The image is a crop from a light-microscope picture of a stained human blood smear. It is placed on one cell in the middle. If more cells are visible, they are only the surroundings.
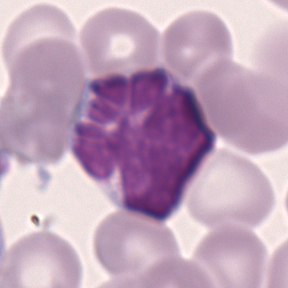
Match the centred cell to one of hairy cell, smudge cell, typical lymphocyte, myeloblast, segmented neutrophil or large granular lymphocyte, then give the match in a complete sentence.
In the central position of this crop, the cell is a large granular lymphocyte.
